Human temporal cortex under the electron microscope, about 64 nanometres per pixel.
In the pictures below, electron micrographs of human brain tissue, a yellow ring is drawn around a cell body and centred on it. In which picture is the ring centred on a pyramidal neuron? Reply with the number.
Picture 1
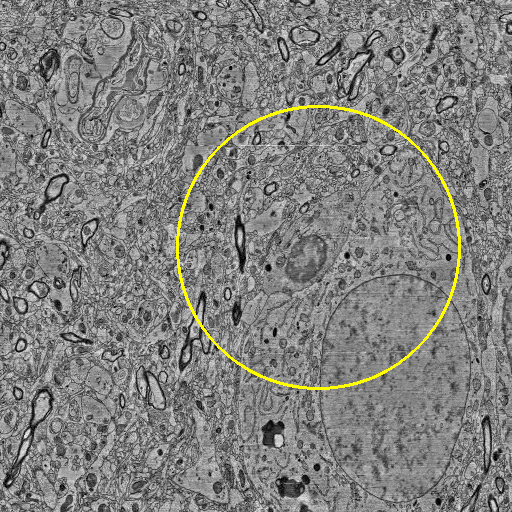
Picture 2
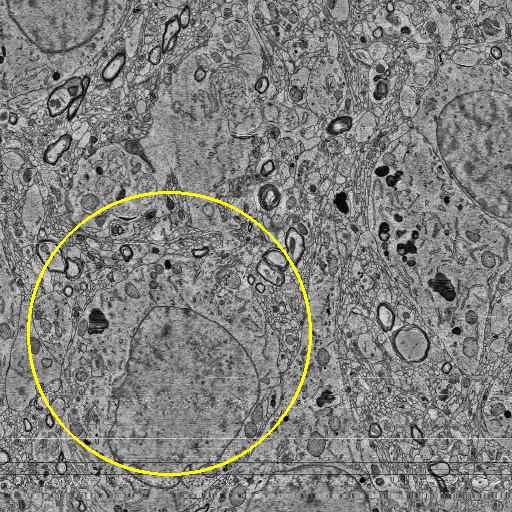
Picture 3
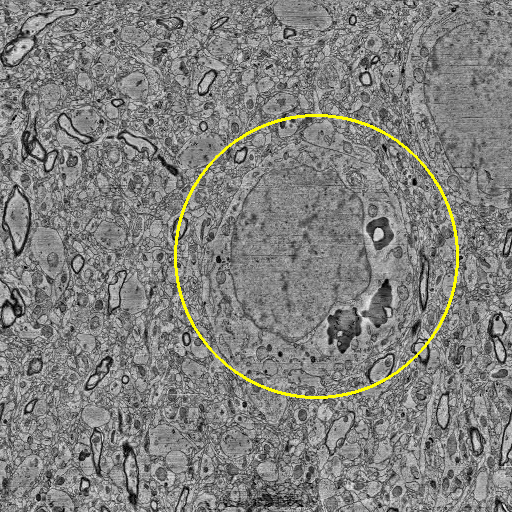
2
